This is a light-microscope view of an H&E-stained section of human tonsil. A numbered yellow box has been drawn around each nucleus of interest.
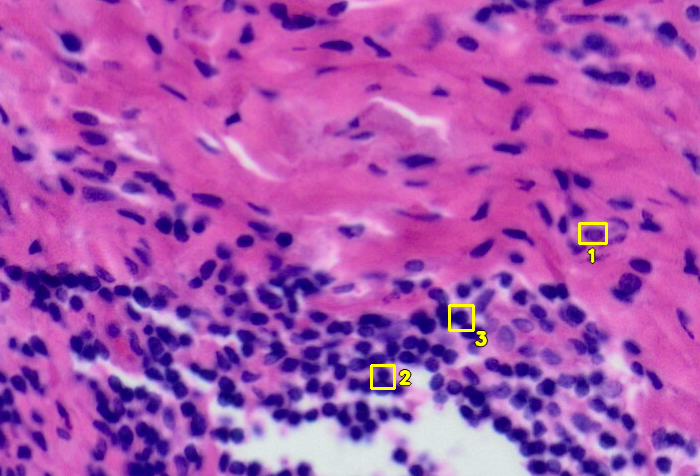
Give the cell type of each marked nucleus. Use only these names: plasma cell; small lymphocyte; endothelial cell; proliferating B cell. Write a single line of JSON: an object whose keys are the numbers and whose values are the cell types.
{"1": "endothelial cell", "2": "small lymphocyte", "3": "small lymphocyte"}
